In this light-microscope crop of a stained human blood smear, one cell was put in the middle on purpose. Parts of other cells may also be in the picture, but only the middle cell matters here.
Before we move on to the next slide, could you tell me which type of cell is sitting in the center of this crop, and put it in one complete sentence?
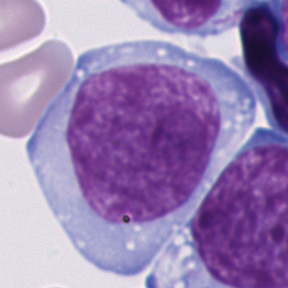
In the crop, the cell of interest at the centre is a myeloblast.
